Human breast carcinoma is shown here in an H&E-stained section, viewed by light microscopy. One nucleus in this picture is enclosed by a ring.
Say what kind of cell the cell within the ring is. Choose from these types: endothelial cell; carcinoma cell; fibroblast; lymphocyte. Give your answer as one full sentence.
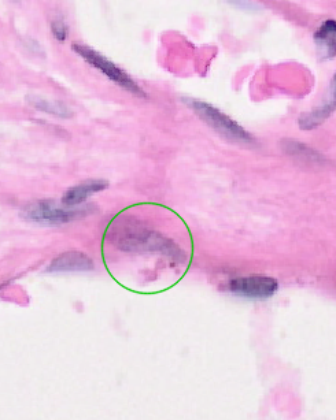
Recorded by type, the cell within the ring is an endothelial cell.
